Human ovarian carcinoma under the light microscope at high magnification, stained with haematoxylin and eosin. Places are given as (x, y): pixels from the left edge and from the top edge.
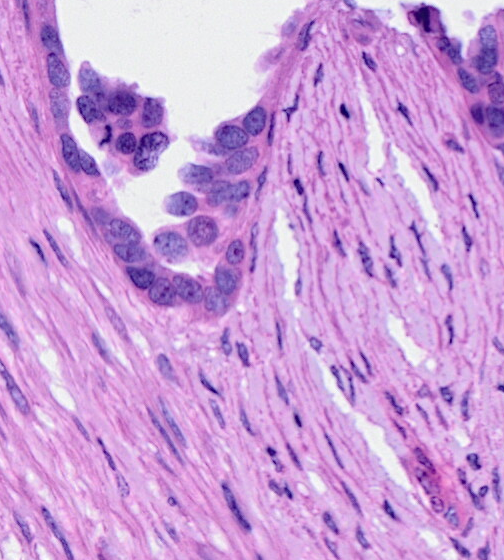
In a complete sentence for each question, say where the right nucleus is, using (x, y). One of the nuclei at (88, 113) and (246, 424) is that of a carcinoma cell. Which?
Belonging to a carcinoma cell is the nucleus at (88, 113).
